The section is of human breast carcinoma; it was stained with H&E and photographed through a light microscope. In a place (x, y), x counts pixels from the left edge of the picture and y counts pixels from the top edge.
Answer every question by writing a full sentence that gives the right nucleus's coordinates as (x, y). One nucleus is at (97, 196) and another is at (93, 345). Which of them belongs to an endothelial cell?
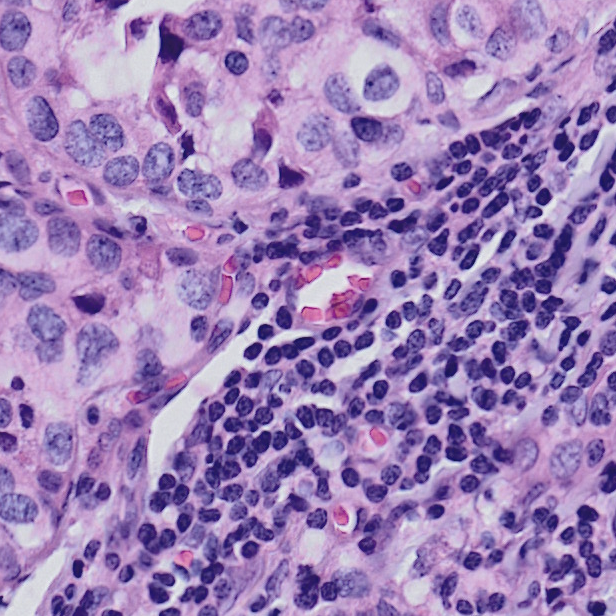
The cell to which the nucleus at (97, 196) belongs is an endothelial cell.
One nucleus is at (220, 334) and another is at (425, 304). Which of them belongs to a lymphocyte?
Only the nucleus at (425, 304), of the two, belongs to a lymphocyte.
